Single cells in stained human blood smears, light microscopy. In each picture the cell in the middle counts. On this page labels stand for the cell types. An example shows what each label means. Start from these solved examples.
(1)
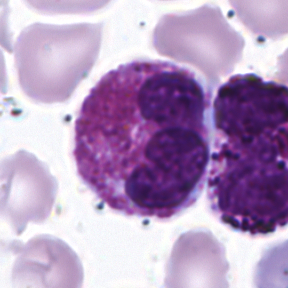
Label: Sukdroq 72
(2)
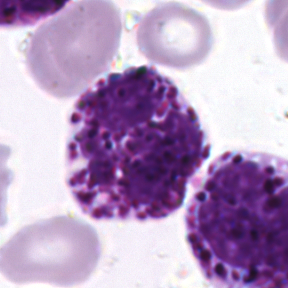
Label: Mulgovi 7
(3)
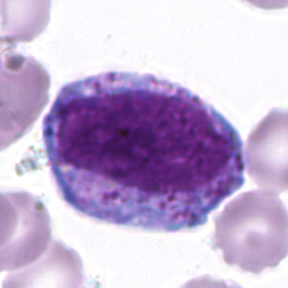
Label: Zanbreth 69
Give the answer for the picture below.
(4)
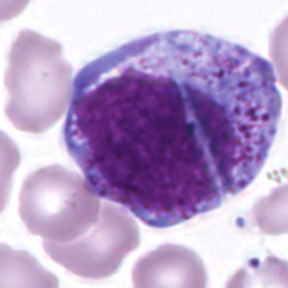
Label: Zanbreth 69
